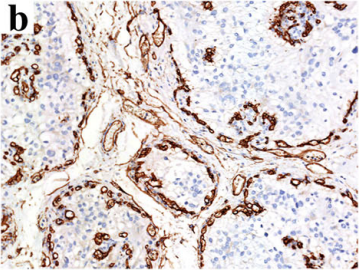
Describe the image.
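Tumor composed of nests of round to polygonal cells with pale cytoplasm and round blue nuclei, separated by pale fibrous septa. Brown stain lines numerous thin-walled vascular channels within the septa and around the nests, while the tumor cells themselves remain unstained.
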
